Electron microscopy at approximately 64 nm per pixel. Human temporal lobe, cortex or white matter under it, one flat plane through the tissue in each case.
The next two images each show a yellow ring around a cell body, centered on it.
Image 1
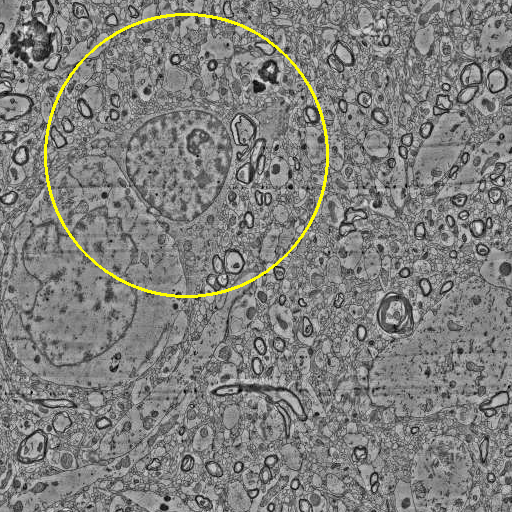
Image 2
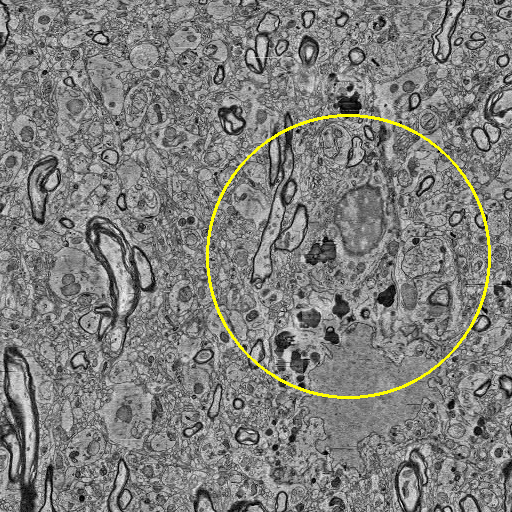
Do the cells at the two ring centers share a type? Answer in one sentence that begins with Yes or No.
Yes, across the two images the cells at the ring centers share one type.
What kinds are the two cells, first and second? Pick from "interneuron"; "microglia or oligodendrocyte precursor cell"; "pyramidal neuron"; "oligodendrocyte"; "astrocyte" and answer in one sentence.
Each of the two rings is centred on an oligodendrocyte.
